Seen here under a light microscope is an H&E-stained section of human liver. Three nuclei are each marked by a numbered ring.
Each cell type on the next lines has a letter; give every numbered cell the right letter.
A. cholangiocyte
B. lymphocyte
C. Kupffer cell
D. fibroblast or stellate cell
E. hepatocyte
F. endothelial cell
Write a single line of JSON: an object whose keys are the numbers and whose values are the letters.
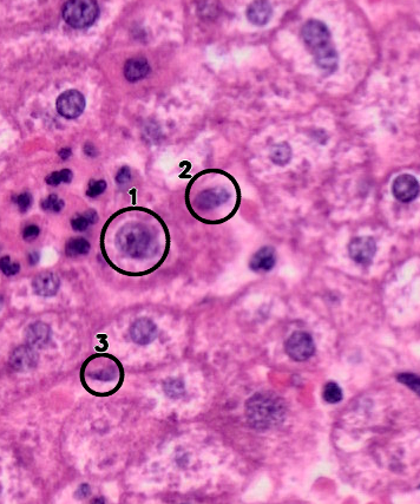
{"1": "E", "2": "C", "3": "F"}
